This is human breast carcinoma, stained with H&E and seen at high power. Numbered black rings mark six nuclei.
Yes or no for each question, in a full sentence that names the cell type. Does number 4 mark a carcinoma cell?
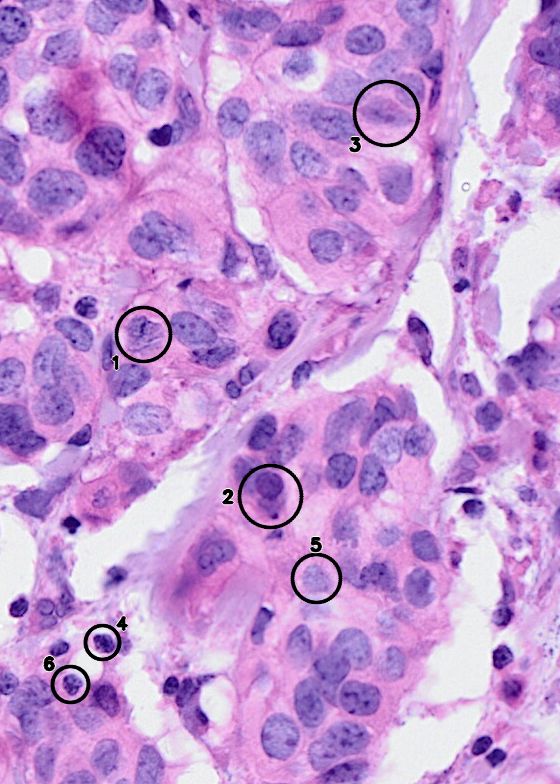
No, the cell at marker 4 is not a carcinoma cell; it is a lymphocyte.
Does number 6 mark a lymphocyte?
Yes, that one, number 6, is a lymphocyte.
